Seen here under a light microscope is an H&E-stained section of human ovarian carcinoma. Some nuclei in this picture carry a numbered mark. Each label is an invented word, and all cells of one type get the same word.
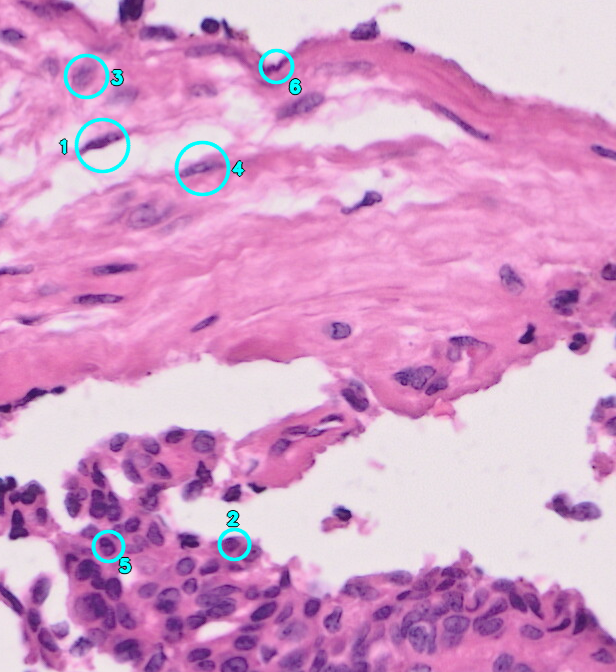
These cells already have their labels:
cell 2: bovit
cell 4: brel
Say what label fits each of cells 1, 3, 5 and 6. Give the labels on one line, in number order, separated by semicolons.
brel; brel; bovit; brel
